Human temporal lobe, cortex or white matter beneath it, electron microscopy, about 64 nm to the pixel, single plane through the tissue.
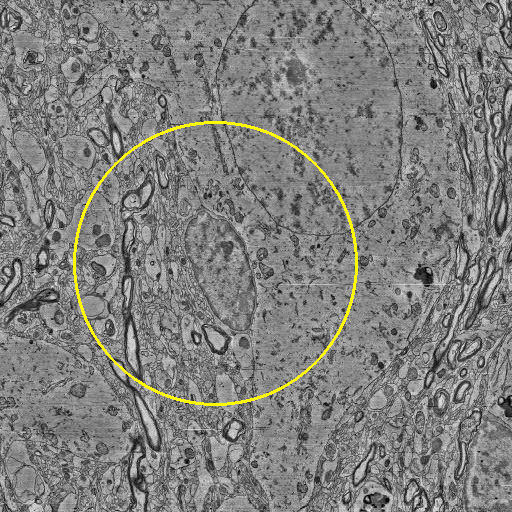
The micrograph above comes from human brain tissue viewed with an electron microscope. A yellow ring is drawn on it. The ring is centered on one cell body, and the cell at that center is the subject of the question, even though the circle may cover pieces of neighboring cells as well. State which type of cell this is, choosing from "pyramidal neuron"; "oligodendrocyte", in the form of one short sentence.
The cell the ring is centered on is an oligodendrocyte.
